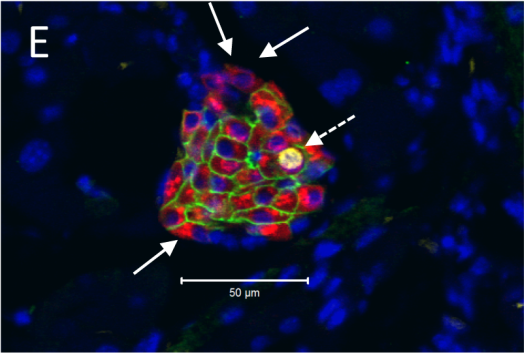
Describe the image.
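Most cells have red cytoplasm and a round blue nucleus, and green lines outline the borders between them. Around the edge of the cluster some cells show red but little or no green outline. On the right side one cell has a bright whitish-yellow nucleus, unlike the blue nuclei of its neighbours.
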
